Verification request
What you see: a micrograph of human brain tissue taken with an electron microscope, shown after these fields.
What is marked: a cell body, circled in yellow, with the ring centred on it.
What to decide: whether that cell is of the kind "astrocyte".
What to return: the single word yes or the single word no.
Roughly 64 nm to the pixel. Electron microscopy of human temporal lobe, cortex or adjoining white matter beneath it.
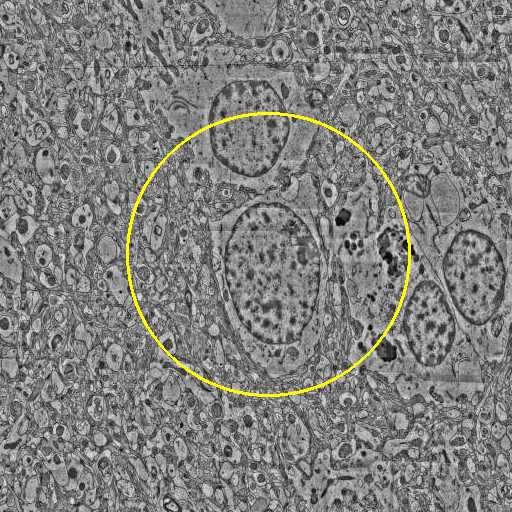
yes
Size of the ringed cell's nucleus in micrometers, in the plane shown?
In this plane, roughly 9 by 7 micrometres.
